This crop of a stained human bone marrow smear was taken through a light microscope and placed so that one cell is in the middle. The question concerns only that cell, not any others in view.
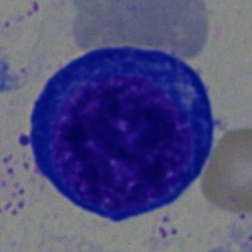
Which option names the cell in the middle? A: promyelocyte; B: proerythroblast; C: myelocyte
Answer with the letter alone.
B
